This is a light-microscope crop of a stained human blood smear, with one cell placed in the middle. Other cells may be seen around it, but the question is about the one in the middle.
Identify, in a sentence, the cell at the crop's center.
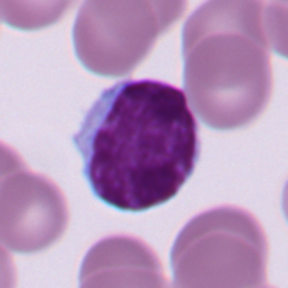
The cell of interest, located centrally, is a typical lymphocyte.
